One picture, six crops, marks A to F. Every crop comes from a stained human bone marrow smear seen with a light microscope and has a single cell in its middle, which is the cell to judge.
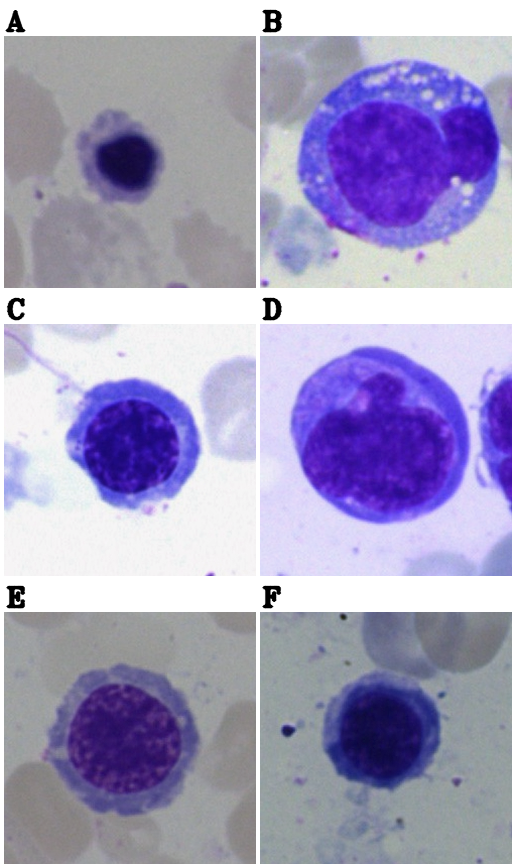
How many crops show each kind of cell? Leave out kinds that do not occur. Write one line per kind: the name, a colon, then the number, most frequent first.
erythroblast: 4
blast: 2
